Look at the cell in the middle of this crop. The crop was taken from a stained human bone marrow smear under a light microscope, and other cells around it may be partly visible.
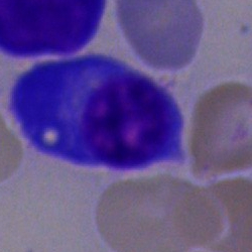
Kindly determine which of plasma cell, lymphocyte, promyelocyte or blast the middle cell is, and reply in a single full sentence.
Located at the centre of the crop is a plasma cell.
